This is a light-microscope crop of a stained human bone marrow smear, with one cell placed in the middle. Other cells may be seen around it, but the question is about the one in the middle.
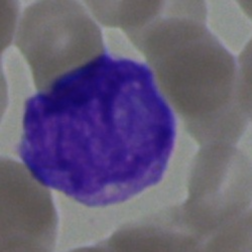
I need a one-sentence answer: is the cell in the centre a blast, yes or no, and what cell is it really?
Yes, a blast is the cell positioned in the middle of the field.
